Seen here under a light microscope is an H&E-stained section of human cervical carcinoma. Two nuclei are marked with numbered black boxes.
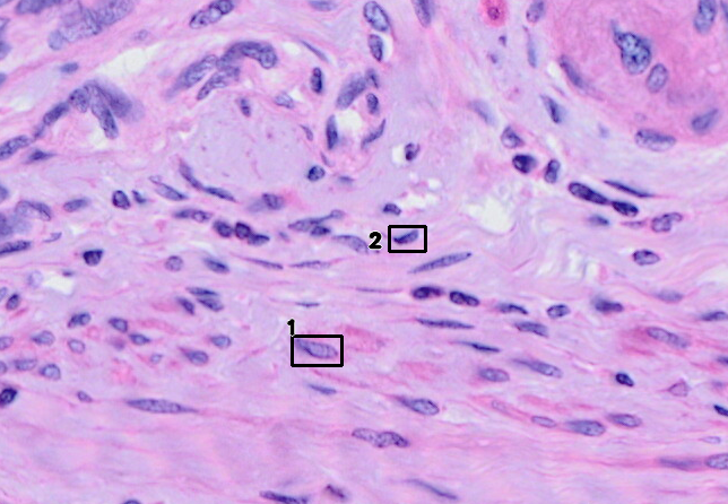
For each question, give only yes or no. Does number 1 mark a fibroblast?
no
